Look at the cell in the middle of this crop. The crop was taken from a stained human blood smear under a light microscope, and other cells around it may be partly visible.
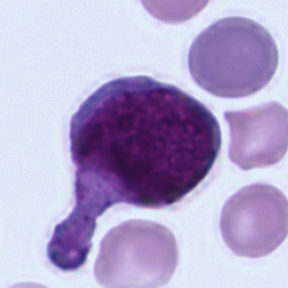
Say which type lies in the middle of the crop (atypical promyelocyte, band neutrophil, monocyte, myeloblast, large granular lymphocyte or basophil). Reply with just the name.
atypical promyelocyte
